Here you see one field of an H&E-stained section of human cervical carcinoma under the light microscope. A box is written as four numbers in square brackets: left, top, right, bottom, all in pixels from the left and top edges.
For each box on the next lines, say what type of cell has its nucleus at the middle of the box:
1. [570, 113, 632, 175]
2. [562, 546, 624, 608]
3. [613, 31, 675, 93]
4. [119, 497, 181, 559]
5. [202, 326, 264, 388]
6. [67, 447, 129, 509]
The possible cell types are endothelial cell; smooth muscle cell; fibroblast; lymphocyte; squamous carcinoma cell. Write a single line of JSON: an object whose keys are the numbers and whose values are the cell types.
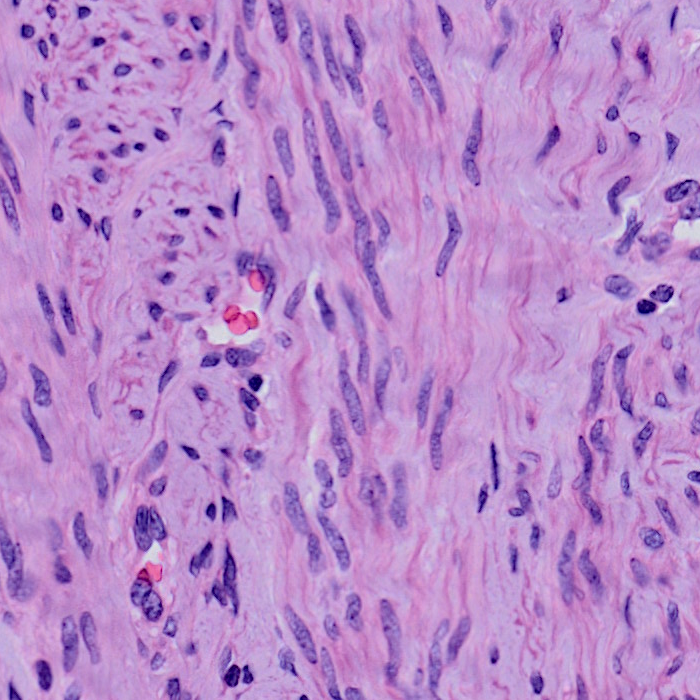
{"1": "smooth muscle cell", "2": "smooth muscle cell", "3": "smooth muscle cell", "4": "endothelial cell", "5": "endothelial cell", "6": "fibroblast"}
